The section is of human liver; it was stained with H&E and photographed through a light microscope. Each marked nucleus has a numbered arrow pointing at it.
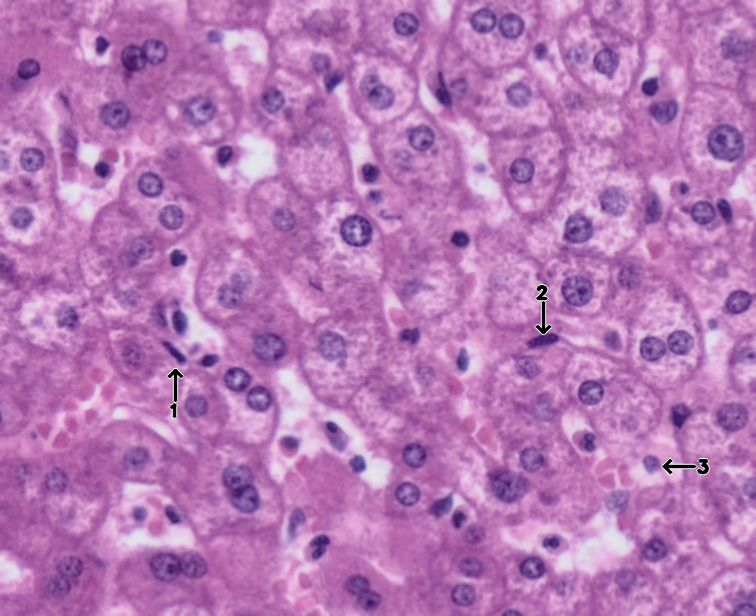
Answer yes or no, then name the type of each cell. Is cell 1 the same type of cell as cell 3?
No, cell 1 is a fibroblast or stellate cell and cell 3 is a lymphocyte.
